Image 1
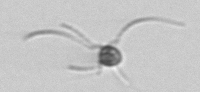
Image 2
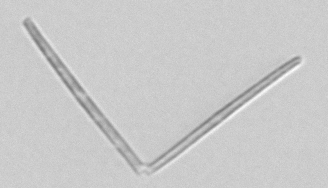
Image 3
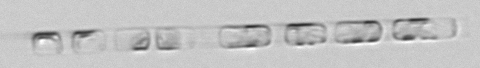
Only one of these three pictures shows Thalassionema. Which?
Picture 2.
